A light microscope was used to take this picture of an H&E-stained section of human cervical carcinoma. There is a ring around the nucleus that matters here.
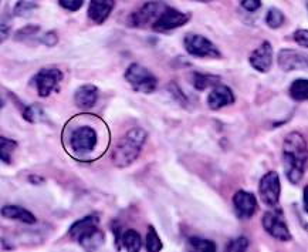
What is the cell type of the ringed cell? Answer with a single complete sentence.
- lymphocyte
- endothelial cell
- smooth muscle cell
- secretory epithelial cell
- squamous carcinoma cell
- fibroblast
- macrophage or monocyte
Cytologically, the ringed cell is to be regarded as a lymphocyte.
